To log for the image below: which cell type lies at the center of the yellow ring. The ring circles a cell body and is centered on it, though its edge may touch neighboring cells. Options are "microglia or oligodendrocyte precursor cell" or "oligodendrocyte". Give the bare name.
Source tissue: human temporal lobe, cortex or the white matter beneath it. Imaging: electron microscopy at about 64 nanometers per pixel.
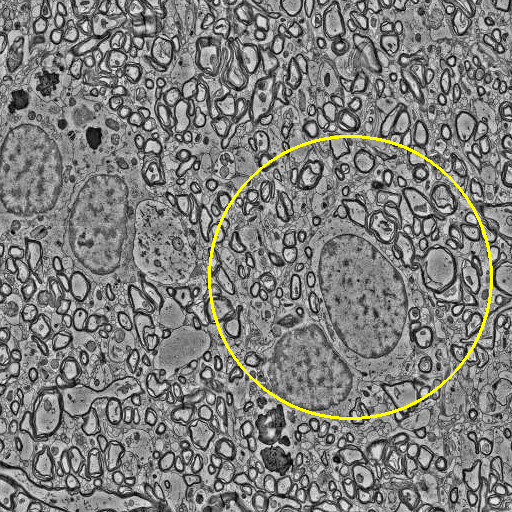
microglia or oligodendrocyte precursor cell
